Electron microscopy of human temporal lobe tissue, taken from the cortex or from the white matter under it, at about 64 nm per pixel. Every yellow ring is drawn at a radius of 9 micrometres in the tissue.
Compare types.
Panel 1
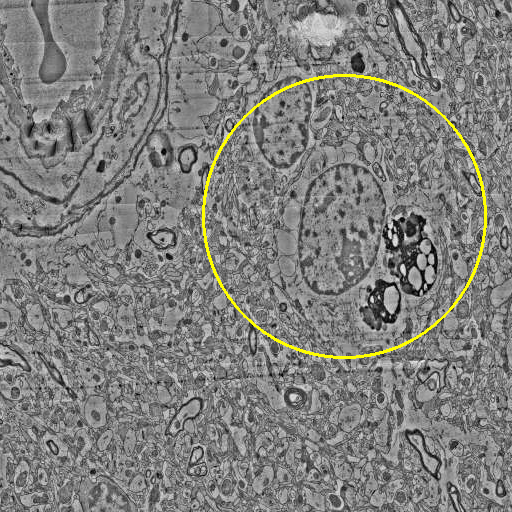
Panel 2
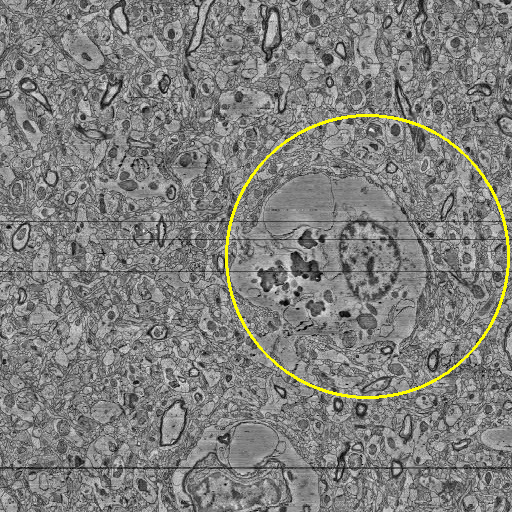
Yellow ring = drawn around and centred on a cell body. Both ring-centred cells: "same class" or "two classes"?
same class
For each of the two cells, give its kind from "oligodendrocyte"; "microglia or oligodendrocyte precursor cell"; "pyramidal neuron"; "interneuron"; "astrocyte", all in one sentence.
Each one of the two ringed cells is an astrocyte.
